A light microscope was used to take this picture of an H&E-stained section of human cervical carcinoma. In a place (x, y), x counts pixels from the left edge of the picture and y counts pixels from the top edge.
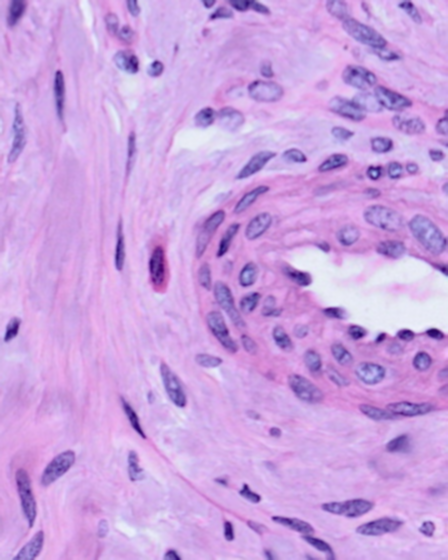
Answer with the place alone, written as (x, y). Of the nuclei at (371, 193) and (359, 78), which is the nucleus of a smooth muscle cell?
(371, 193)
